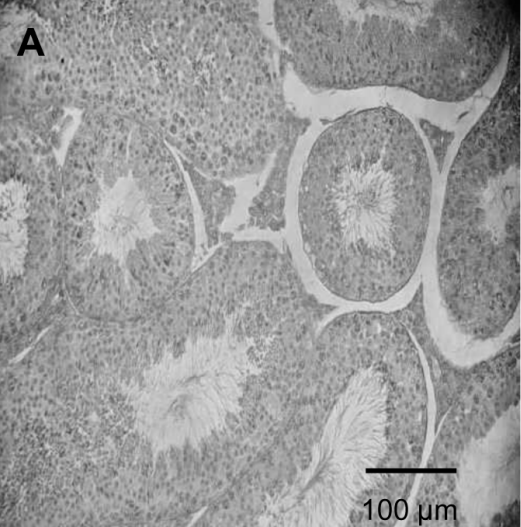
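This is a section of testis showing large, round seminiferous tubules cut across, separated by narrow interstitial spaces. Each tubule has a thin boundary wall and a thick epithelium of densely packed germ cell nuclei arranged in concentric layers. Toward the centre, the lumens hold radiating bundles of fine sperm tails, a sign of ongoing germ cell production.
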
